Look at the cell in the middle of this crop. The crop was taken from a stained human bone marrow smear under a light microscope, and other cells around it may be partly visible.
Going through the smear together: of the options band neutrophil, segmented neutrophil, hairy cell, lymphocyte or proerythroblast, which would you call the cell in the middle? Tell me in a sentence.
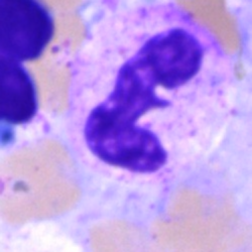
The central cell shown in this smear crop is a segmented neutrophil.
